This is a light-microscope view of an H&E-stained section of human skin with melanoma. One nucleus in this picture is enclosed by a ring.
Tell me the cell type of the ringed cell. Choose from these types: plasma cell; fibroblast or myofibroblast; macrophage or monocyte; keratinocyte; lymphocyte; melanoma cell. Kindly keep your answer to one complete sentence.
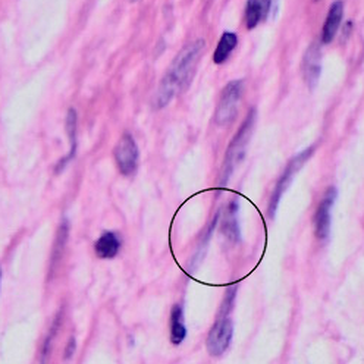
In this preparation, the ringed cell is a fibroblast or myofibroblast.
